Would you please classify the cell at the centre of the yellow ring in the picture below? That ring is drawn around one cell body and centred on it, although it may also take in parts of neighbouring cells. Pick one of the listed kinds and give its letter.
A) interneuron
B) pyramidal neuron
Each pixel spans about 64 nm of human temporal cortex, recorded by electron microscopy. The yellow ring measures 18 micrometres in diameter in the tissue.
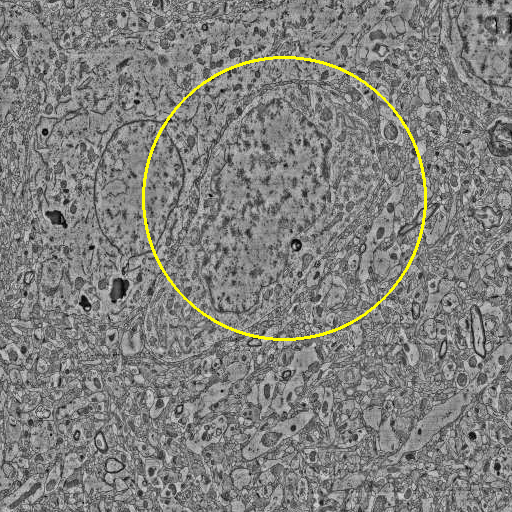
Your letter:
A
